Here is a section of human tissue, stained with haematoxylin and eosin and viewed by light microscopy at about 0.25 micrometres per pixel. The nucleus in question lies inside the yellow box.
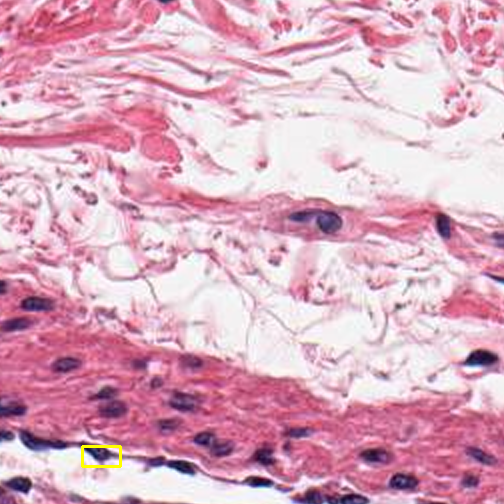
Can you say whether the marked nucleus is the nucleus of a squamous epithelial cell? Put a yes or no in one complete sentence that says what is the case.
No, a supporting cell rather than a squamous epithelial cell is the cell of the marked nucleus.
